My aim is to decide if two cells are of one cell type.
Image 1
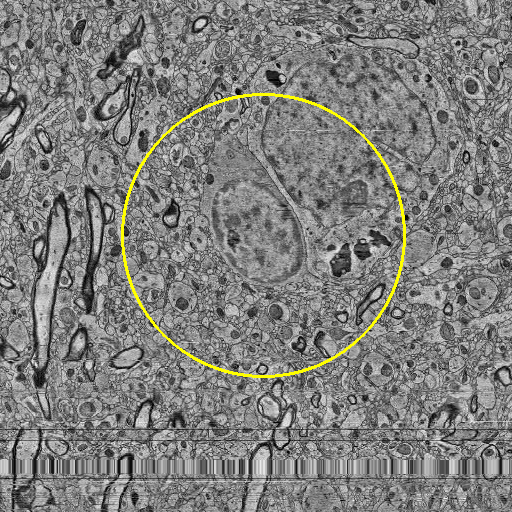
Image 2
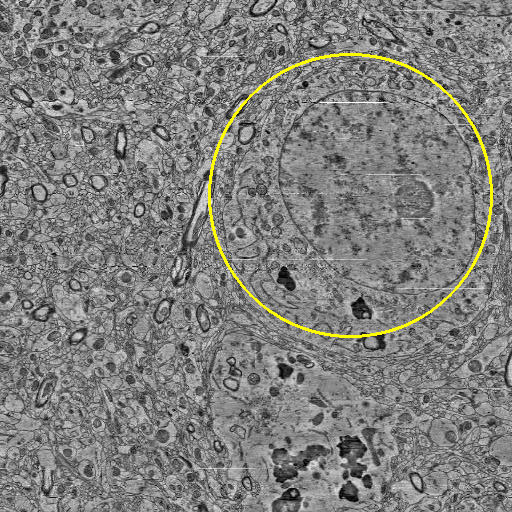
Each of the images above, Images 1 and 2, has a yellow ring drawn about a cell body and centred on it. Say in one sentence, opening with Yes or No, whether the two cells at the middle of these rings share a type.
No, in Images 1 and 2 the cells at the middle of the rings fall into two types.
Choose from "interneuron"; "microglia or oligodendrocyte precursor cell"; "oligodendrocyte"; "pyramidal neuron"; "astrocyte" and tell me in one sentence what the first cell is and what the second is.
What the first ring is centred on is an oligodendrocyte; what the second ring is centred on is a pyramidal neuron.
